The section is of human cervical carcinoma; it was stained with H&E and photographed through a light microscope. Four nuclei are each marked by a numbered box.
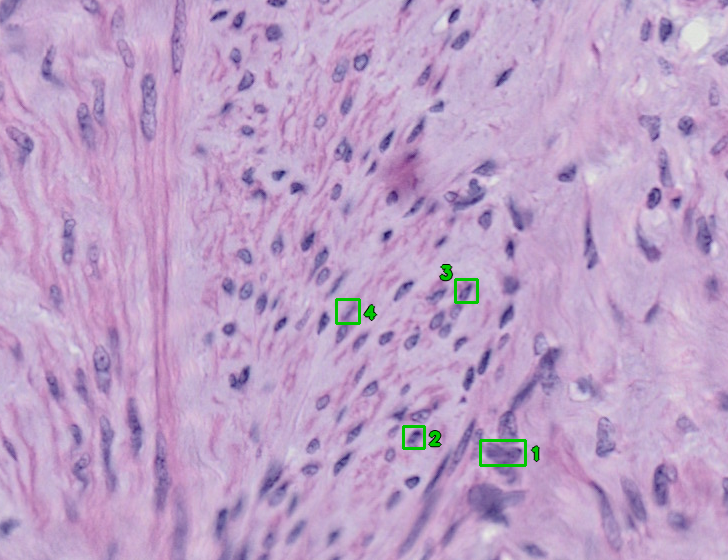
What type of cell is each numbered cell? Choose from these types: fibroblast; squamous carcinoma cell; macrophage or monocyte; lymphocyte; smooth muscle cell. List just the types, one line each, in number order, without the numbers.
fibroblast
smooth muscle cell
smooth muscle cell
smooth muscle cell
